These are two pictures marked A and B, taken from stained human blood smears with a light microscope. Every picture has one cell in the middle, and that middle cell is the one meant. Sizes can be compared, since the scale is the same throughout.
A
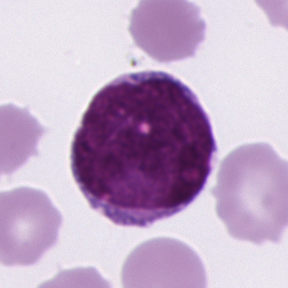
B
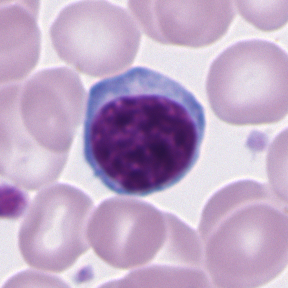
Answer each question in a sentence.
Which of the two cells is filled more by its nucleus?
Of the two, the nucleus in picture A makes up the greater part of its cell.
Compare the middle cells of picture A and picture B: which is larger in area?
Picture A holds the larger cell; it covers about 1.5 times the area of the cell in picture B.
